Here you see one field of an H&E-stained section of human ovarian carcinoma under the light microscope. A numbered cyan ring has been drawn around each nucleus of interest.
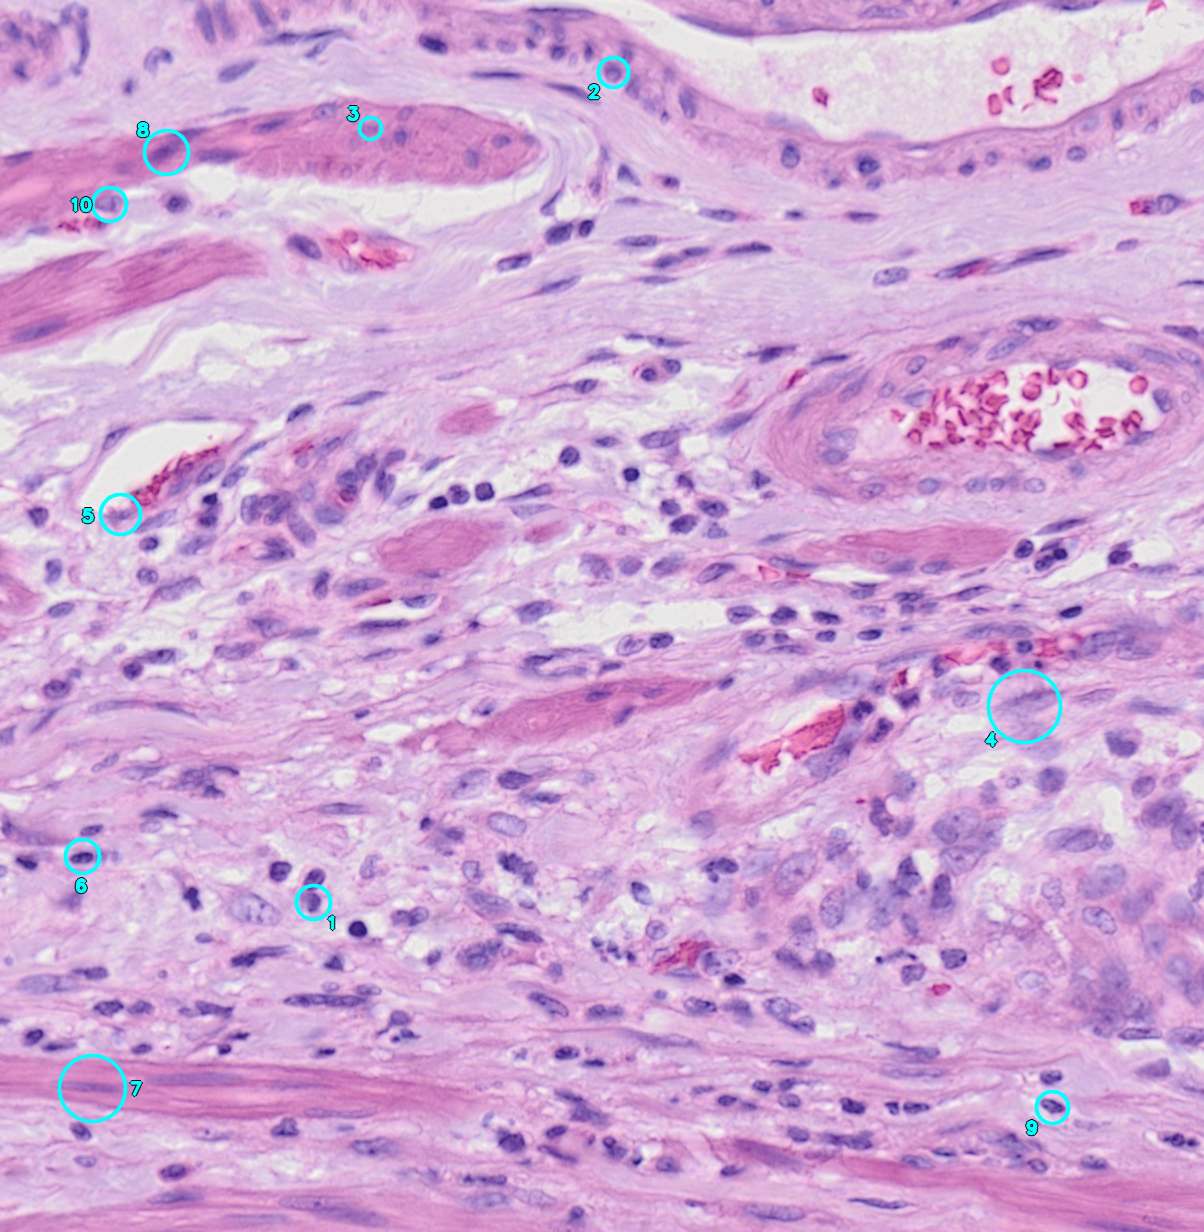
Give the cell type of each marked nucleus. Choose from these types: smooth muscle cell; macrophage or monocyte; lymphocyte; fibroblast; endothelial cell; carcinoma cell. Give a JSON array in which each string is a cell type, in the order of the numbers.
["lymphocyte", "smooth muscle cell", "smooth muscle cell", "fibroblast", "endothelial cell", "lymphocyte", "smooth muscle cell", "smooth muscle cell", "lymphocyte", "endothelial cell"]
